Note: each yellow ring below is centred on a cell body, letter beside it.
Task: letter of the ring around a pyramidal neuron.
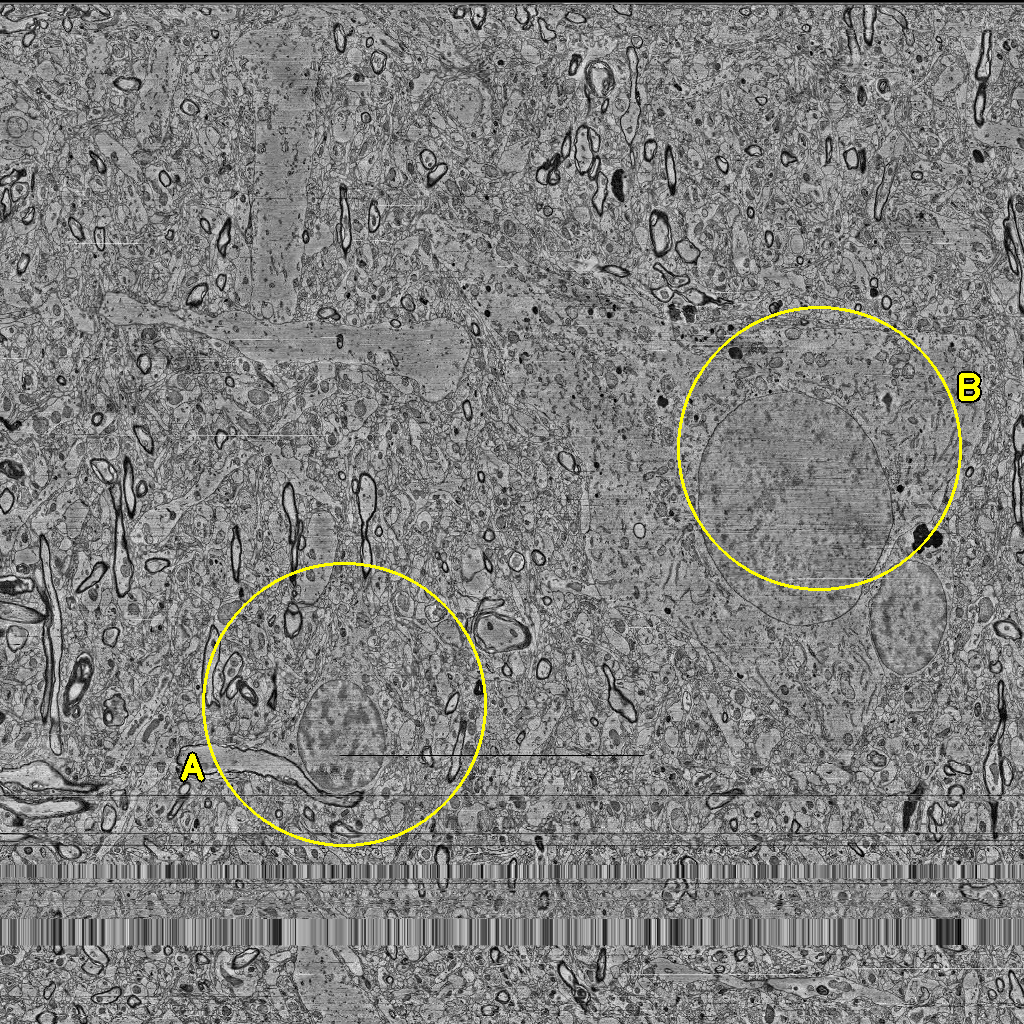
B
